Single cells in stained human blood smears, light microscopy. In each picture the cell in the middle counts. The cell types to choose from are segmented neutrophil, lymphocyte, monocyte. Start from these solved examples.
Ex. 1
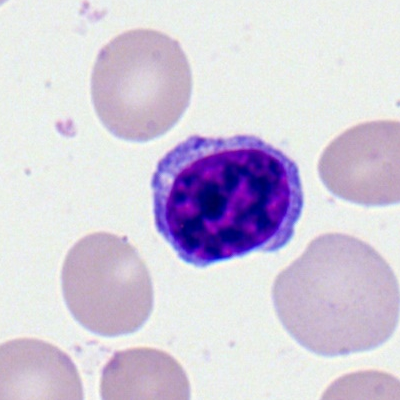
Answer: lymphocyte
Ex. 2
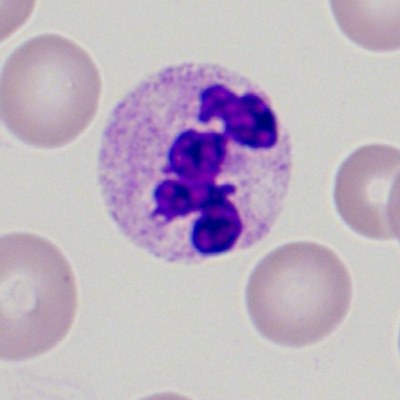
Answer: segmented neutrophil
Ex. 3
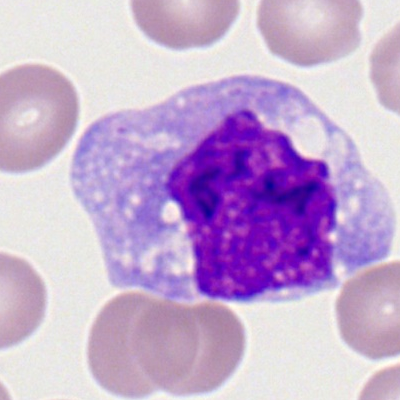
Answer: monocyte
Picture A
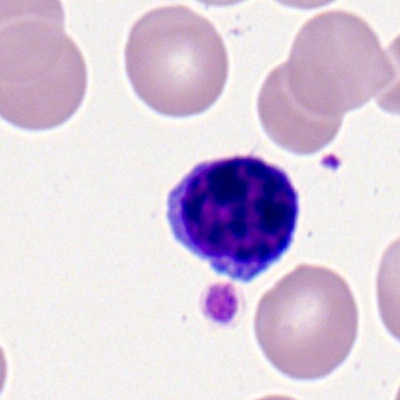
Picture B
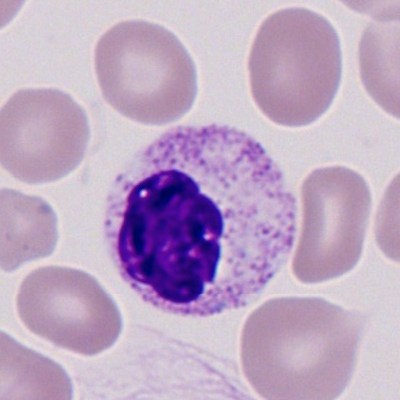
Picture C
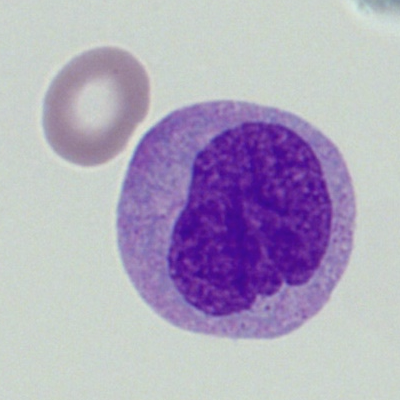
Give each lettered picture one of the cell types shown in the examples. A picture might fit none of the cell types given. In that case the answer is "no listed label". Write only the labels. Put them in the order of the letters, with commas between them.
lymphocyte, segmented neutrophil, no listed label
